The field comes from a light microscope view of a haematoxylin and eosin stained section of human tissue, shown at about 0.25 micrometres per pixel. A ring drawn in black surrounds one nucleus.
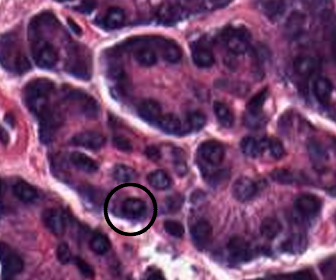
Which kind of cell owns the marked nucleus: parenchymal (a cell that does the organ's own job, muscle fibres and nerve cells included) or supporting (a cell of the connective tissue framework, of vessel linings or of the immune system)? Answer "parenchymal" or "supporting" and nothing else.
parenchymal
